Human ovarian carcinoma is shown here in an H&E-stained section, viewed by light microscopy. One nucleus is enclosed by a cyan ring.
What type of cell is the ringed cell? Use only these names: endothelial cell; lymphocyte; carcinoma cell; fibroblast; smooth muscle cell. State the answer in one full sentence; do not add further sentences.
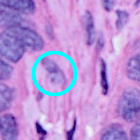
In this section of tissue, the ringed cell is a fibroblast.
